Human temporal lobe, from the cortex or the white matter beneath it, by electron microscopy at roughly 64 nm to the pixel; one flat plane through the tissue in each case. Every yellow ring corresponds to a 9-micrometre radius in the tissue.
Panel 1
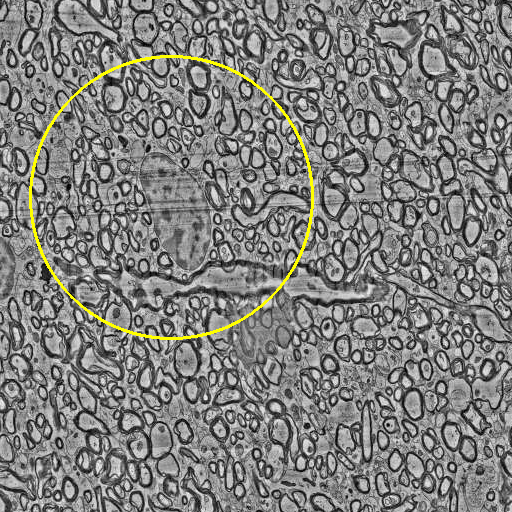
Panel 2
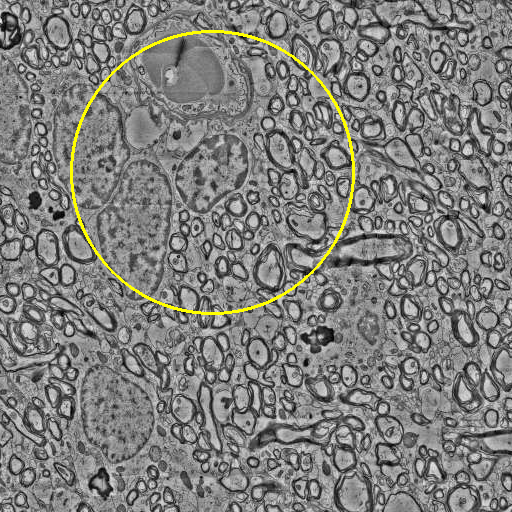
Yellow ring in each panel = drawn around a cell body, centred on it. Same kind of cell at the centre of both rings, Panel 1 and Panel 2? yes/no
yes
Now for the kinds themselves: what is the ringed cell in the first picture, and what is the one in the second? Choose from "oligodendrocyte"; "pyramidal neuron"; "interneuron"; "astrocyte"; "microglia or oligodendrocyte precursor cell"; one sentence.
In the first picture and in the second, the ring is centred on a microglial cell or oligodendrocyte precursor cell.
